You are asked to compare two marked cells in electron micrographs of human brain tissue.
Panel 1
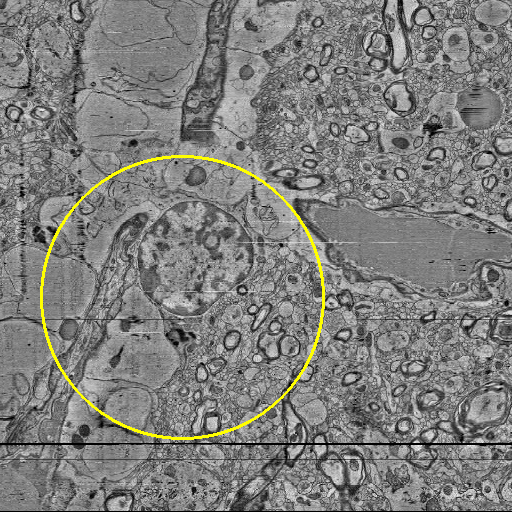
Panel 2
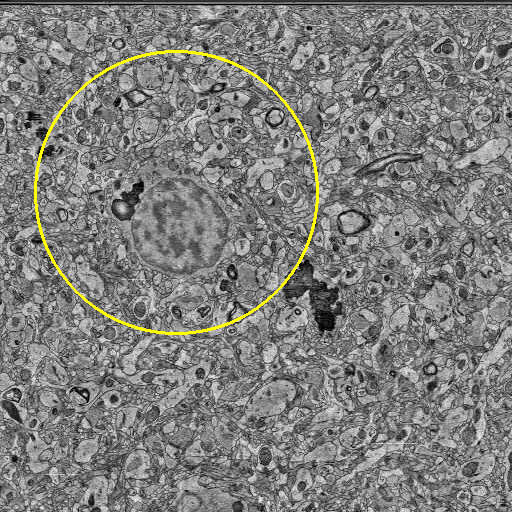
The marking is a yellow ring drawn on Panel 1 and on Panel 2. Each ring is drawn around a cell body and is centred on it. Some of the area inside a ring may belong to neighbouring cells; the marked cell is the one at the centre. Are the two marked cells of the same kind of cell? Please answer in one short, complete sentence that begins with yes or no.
No, the two marked cells are of two kinds.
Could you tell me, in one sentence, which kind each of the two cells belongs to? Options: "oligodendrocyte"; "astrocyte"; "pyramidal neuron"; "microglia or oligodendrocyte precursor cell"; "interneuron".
At the centre of the first ring sits a microglial cell or oligodendrocyte precursor cell, and at the centre of the second sits an oligodendrocyte.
